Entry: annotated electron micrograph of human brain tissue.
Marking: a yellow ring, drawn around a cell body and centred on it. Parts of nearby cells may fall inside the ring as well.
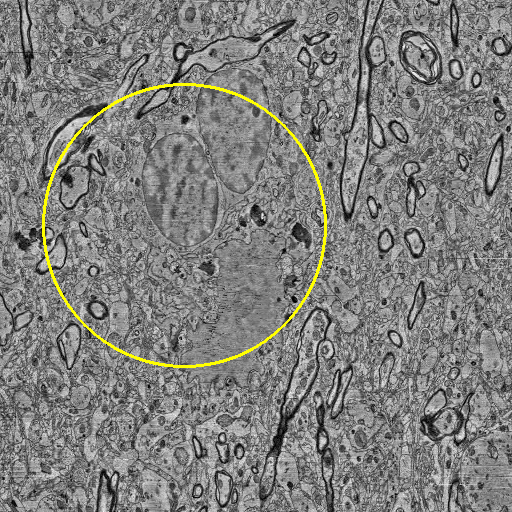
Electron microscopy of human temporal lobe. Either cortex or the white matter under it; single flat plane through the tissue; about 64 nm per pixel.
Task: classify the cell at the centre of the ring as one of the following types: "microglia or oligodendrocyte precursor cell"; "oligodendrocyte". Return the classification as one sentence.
The marked cell is classified as an oligodendrocyte.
